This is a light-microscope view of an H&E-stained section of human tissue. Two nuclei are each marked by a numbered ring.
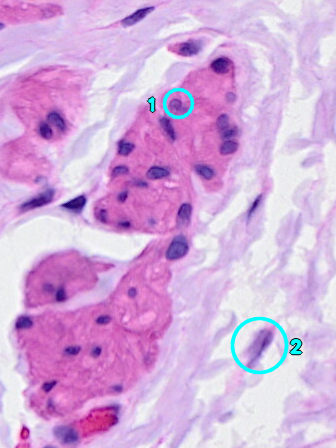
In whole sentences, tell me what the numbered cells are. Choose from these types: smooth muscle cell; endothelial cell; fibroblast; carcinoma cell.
Cell 1 is a smooth muscle cell. Cell 2 is a fibroblast.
